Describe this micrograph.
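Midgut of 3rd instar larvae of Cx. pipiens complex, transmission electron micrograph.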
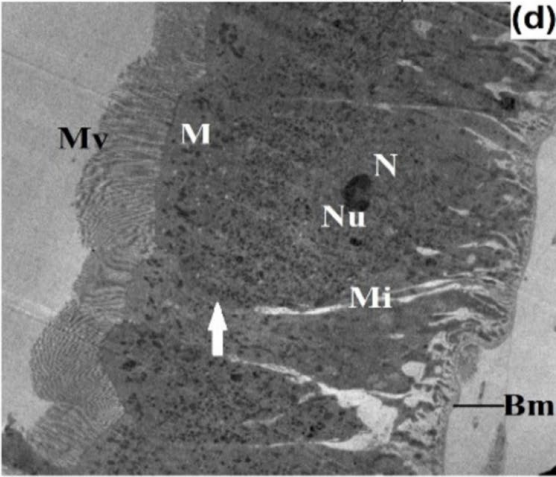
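The cytoplasm is granular and crowded with small dark bodies consistent with mitochondria. Pale, branching clefts of invaginated membrane run between the cells and toward the base, where the cells sit on a thin basement membrane. Neighbouring cells are joined along a straight membrane contact, a septate junction.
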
